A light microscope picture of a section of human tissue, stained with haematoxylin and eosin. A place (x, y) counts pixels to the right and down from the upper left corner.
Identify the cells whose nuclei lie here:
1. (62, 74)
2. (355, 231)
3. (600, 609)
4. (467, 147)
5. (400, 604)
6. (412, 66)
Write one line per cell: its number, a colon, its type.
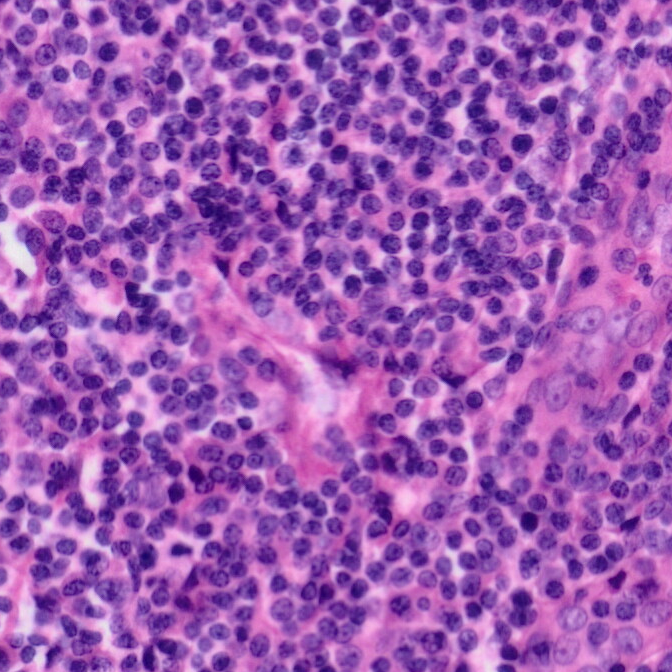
1: small lymphocyte
2: small lymphocyte
3: endothelial cell
4: small lymphocyte
5: plasma cell
6: small lymphocyte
